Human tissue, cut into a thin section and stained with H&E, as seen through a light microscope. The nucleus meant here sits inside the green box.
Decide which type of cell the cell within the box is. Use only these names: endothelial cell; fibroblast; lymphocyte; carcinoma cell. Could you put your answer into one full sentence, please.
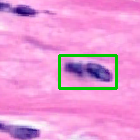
In this preparation, the cell within the box is a lymphocyte.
